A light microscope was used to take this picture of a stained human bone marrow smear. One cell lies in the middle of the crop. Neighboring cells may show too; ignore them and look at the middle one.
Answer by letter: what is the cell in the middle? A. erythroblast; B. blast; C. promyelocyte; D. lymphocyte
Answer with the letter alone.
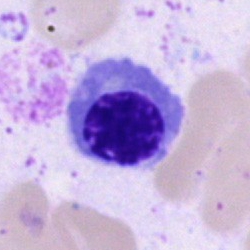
A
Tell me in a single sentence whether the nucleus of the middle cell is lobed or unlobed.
The nuclear material is gathered into one compact round, oval or kidney-shaped mass.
